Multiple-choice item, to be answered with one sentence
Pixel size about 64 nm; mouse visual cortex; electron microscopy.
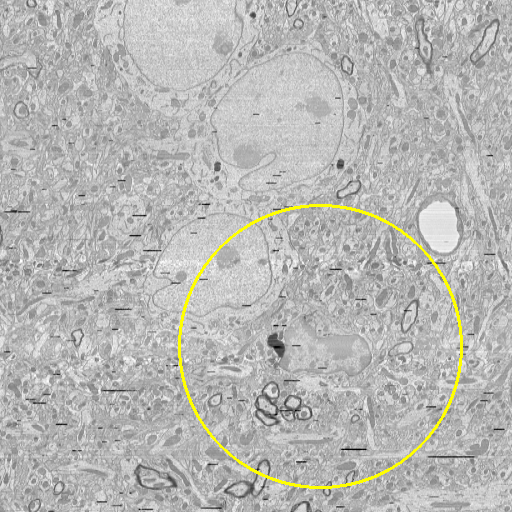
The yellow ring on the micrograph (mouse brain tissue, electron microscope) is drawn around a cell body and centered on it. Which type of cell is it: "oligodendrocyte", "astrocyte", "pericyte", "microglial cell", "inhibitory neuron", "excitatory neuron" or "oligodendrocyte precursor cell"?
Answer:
The ring is centered on a microglial cell.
